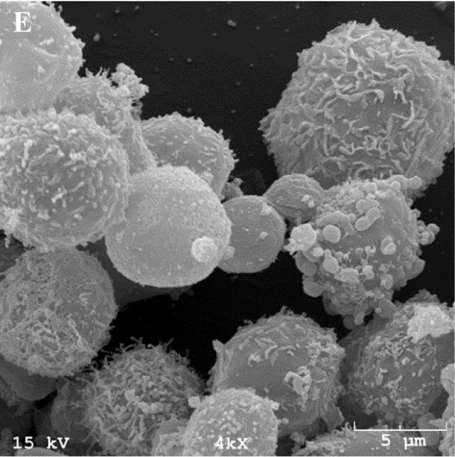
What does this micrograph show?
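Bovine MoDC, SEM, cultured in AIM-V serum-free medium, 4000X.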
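Most cells are rounded to oval, and their surfaces are densely covered with short, ridge-like folds and small projections that give them a wrinkled, velvety texture. Cells differ in size. A few have smoother surfaces, and one carries a cluster of small round blebs on its surface. The cells touch and overlap one another, and the dark background shows between them.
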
